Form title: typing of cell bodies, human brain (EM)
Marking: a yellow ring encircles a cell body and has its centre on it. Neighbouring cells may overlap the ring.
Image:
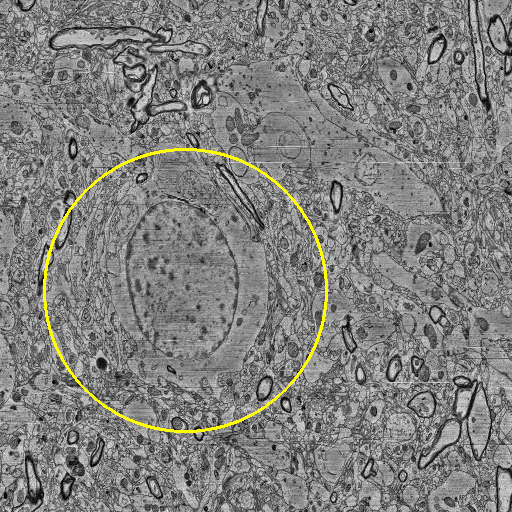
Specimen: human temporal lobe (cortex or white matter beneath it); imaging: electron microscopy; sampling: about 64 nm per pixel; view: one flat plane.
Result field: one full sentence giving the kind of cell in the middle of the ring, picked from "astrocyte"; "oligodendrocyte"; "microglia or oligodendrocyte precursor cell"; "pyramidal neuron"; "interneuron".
In the picture, the ring is centred on an astrocyte, whose cell body it encircles.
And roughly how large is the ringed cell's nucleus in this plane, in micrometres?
In this plane, roughly 10 by 7 micrometres.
